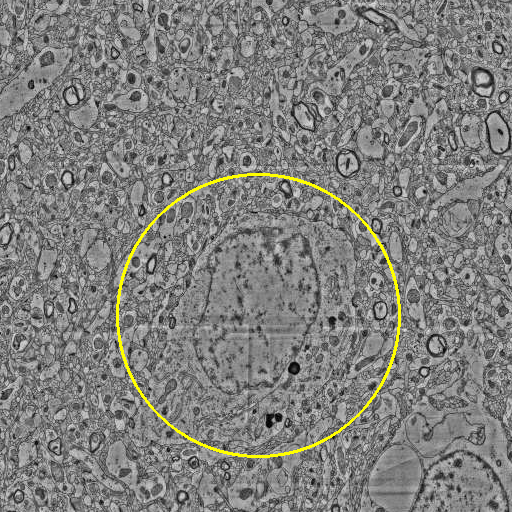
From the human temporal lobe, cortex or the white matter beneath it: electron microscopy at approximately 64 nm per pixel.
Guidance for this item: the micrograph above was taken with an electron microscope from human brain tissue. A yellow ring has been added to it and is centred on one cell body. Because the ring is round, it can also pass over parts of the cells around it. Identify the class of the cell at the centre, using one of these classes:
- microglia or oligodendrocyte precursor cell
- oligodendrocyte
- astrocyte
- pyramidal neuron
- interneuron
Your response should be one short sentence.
The ring surrounds the body of an interneuron.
